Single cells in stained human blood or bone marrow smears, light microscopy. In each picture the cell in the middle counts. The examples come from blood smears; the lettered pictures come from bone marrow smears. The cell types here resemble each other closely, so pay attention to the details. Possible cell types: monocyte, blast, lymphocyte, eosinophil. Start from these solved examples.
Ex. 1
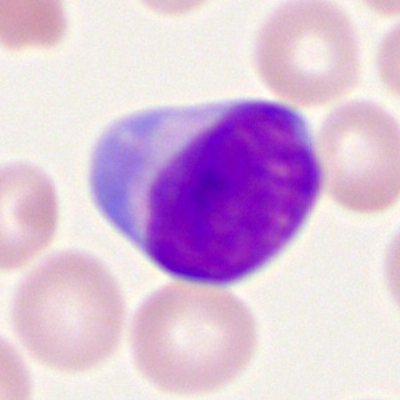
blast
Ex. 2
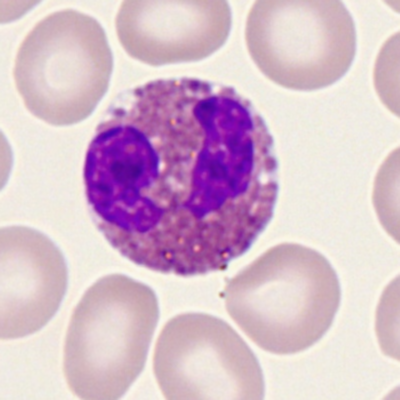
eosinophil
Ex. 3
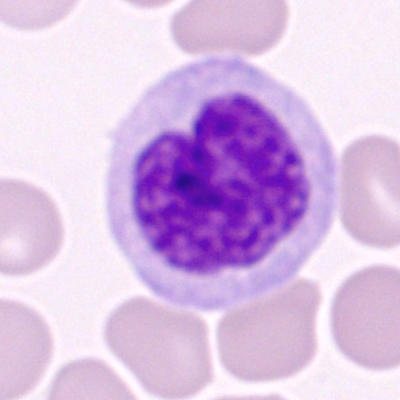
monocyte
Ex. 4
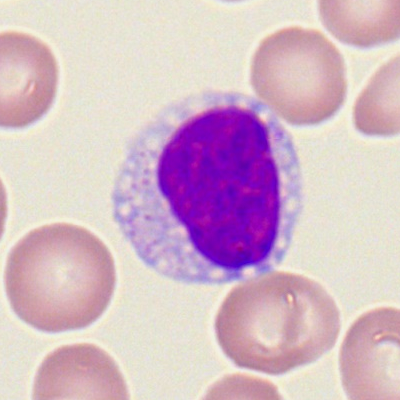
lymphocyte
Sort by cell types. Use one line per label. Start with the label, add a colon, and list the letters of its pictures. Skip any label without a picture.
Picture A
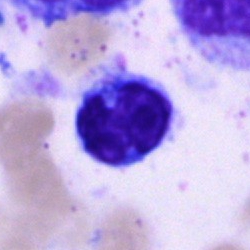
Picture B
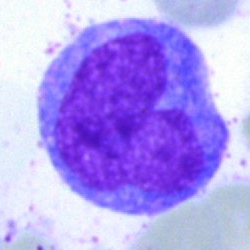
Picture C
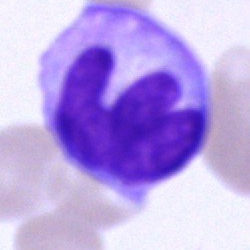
monocyte: B, C
lymphocyte: A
